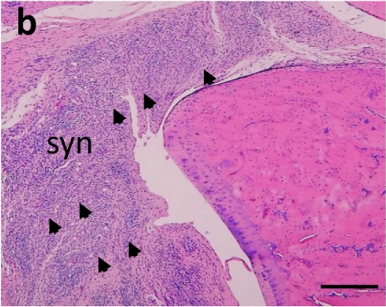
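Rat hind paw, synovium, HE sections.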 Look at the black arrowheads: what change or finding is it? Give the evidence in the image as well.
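The tissue beside the joint is packed with many small dark purple nuclei. The dense cell sheets fill a thickened soft tissue next to the cartilage. That points to this answer: inflammatory cell infiltration.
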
